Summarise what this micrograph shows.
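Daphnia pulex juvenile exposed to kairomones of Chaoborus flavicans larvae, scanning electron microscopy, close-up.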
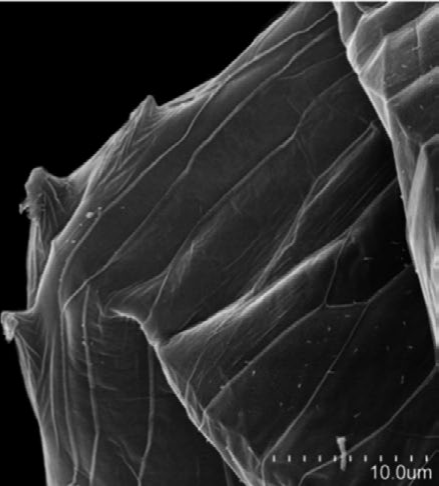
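Along the left edge, a few short, pointed spines project outward from a raised base. The rest of the field is smooth cuticle crossed by fine ridges and folds that run diagonally across the surface. No cells are visible, only the non-living outer covering of the animal.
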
